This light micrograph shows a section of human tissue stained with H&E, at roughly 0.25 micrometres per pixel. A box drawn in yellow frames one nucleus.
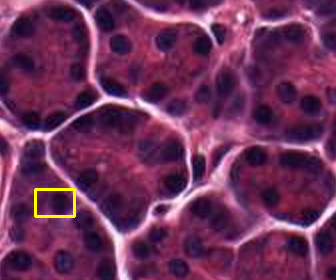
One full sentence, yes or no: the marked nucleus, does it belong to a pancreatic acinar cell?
Yes, in this section the marked nucleus belongs to a pancreatic acinar cell.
